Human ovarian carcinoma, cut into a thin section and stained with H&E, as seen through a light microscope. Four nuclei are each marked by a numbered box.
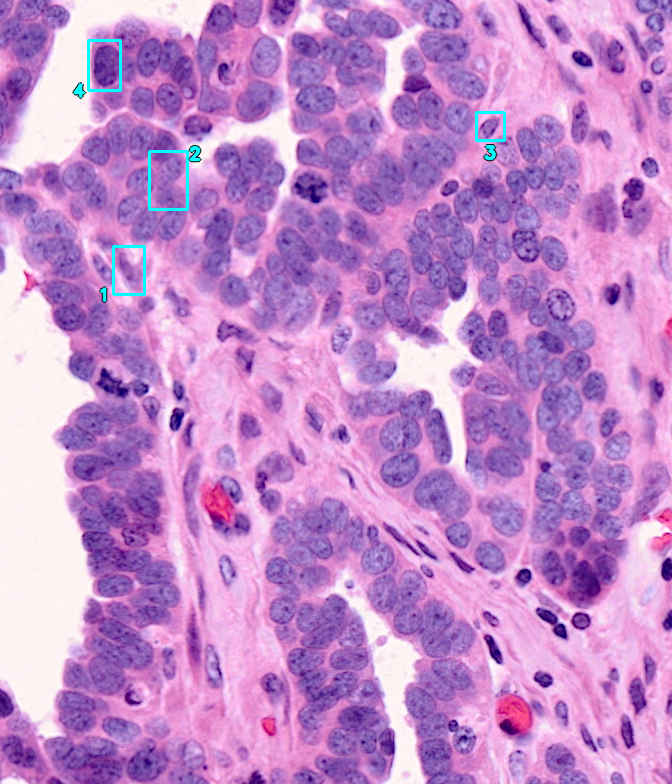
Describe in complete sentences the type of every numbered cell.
Cell 1 is a fibroblast. Cells 2 and 4 are carcinoma cells. Cell 3 is a macrophage or monocyte.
